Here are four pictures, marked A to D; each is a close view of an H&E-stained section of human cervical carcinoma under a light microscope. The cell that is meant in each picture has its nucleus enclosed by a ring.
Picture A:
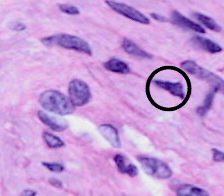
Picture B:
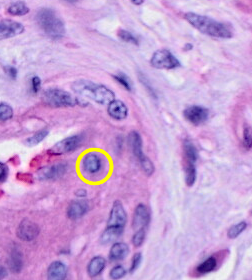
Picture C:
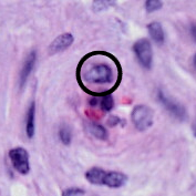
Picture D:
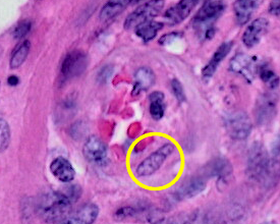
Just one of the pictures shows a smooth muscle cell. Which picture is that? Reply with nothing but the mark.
B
